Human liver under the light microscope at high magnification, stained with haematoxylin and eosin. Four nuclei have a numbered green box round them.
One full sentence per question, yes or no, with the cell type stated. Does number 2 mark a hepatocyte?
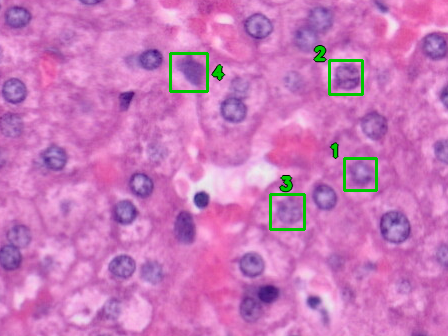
Yes, the numbered cell 2 is a hepatocyte.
